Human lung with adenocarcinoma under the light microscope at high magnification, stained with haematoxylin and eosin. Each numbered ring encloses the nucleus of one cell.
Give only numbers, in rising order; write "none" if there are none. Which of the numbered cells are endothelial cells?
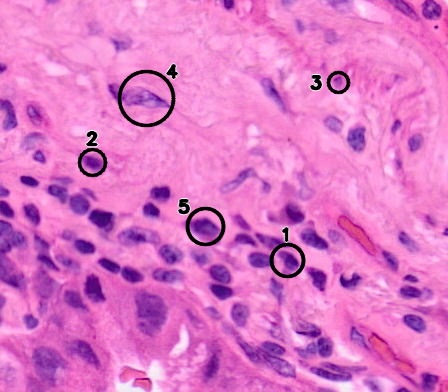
none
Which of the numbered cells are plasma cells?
2, 5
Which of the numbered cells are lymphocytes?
1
